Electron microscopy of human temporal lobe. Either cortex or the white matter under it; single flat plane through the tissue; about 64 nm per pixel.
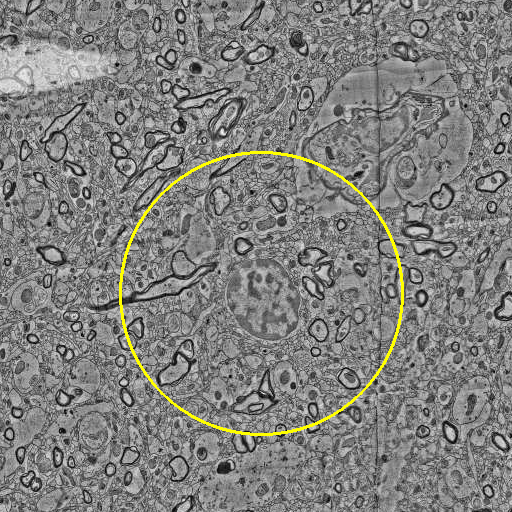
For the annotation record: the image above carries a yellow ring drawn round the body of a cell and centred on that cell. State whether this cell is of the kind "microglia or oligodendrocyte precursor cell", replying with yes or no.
Yes, this cell is of that kind.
